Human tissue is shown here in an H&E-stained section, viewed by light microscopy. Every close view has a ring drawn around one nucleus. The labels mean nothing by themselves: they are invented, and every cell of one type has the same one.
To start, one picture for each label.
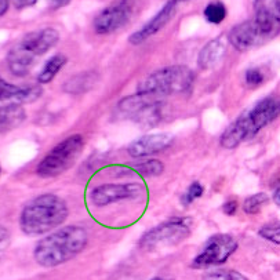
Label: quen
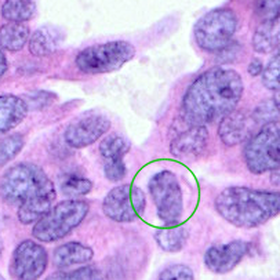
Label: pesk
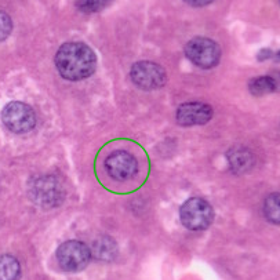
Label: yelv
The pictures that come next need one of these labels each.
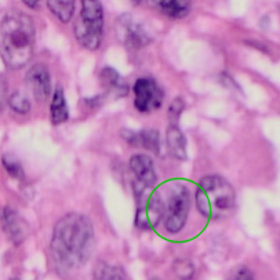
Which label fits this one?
quen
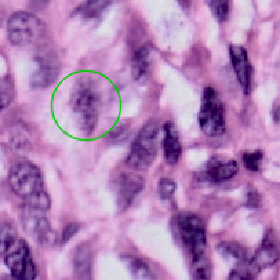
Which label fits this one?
quen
